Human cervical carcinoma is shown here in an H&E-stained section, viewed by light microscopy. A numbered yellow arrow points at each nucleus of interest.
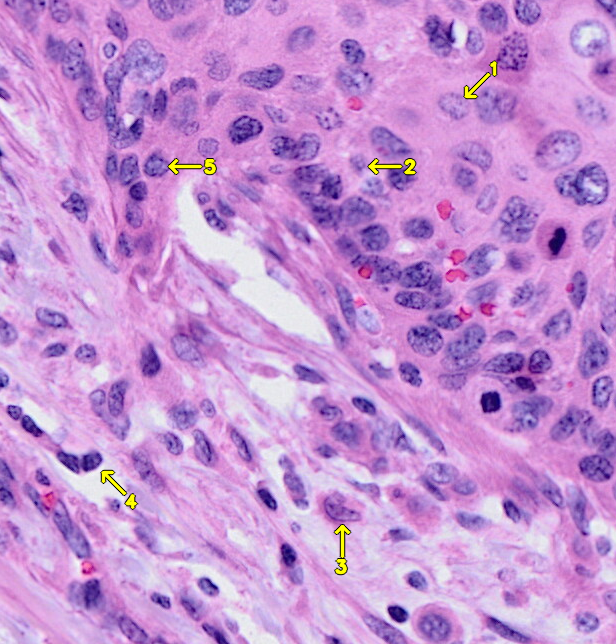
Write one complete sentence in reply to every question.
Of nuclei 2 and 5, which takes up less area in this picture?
Number 2 is smaller, since number 5 takes up about 2 times as much area.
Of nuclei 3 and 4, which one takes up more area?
Of the two, number 3 is bigger and takes up about 1.5 times the area of number 4.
